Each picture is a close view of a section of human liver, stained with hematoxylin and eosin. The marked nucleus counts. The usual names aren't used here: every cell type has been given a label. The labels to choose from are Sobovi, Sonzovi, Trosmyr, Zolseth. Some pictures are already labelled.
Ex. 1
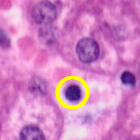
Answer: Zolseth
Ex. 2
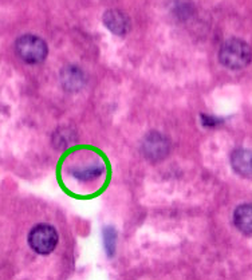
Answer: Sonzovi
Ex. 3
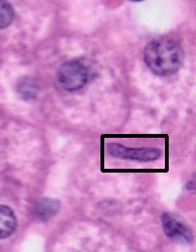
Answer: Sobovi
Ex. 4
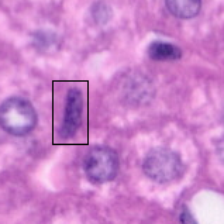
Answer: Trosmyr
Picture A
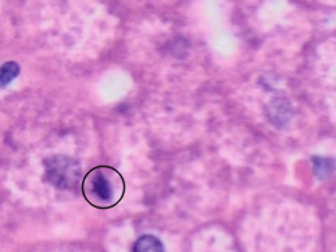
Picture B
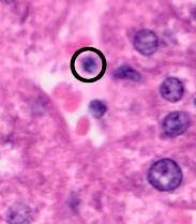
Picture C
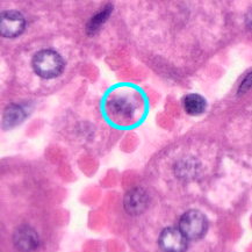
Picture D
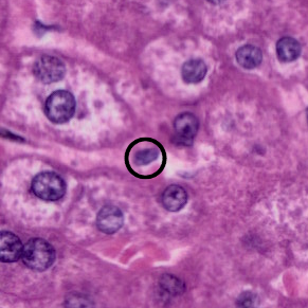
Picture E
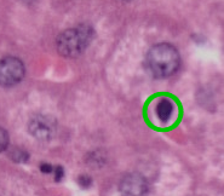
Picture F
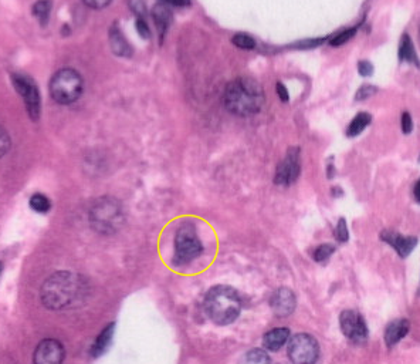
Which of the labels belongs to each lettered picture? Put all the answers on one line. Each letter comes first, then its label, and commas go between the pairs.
A Trosmyr, B Zolseth, C Sonzovi, D Zolseth, E Zolseth, F Trosmyr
